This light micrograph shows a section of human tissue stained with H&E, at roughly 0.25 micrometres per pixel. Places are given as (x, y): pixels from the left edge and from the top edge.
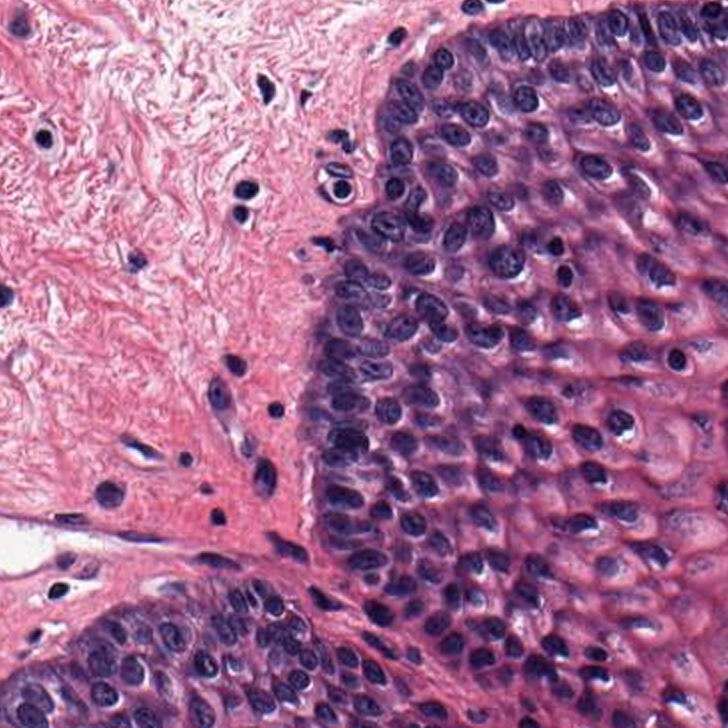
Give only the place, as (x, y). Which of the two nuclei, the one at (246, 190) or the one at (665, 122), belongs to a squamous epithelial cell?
(665, 122)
